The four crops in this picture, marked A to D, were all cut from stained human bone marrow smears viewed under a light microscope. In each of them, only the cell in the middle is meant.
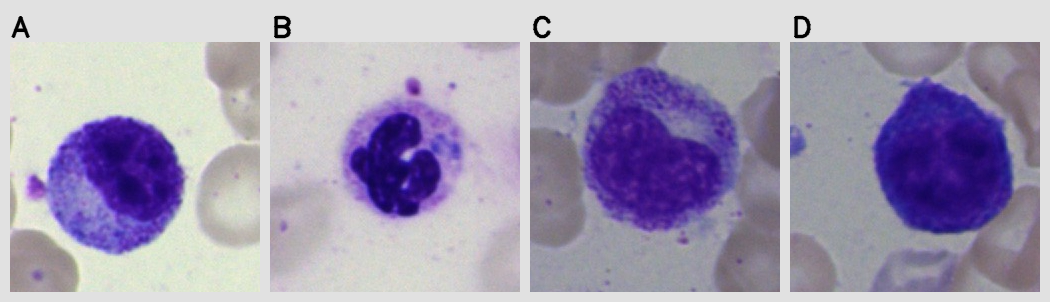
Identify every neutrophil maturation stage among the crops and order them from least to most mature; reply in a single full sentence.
Maturity order, least to most: crop D (a promyelocyte), crop A (a myelocyte), crop C (a metamyelocyte) and crop B (a segmented neutrophil).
